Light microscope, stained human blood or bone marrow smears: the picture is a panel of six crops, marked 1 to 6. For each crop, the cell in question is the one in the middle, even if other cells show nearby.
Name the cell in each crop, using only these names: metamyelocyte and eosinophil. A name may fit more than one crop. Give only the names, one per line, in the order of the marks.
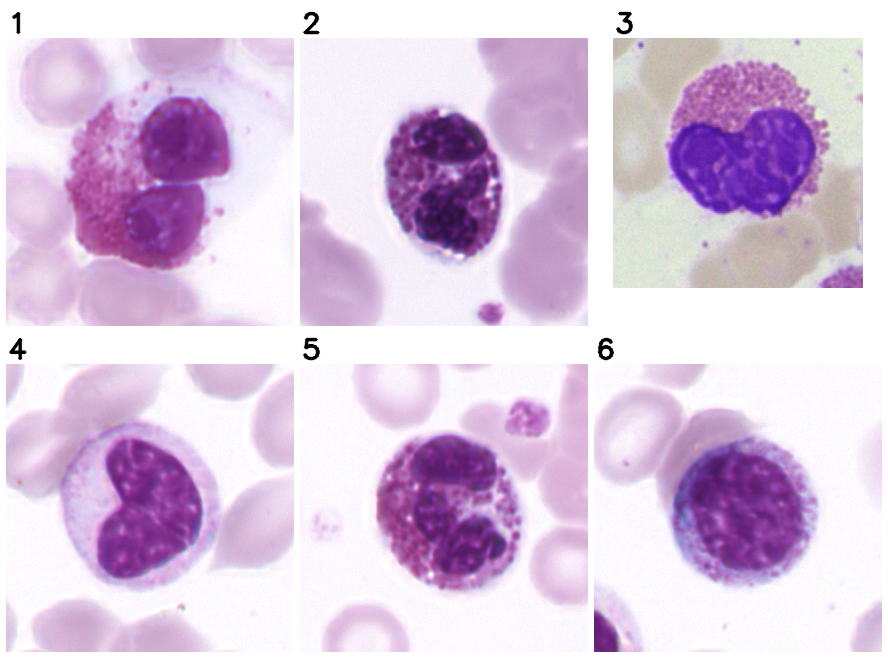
eosinophil
eosinophil
eosinophil
metamyelocyte
eosinophil
metamyelocyte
